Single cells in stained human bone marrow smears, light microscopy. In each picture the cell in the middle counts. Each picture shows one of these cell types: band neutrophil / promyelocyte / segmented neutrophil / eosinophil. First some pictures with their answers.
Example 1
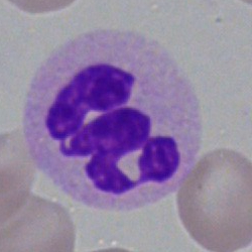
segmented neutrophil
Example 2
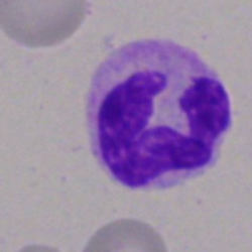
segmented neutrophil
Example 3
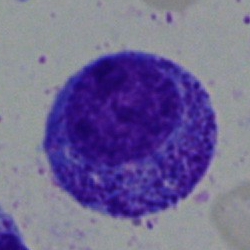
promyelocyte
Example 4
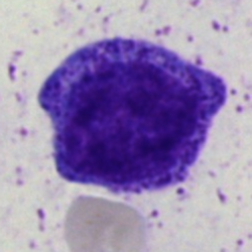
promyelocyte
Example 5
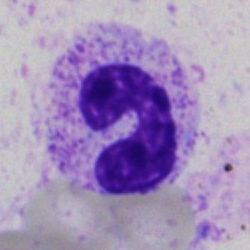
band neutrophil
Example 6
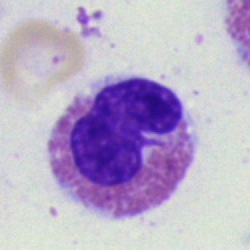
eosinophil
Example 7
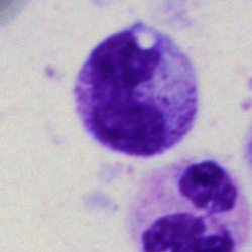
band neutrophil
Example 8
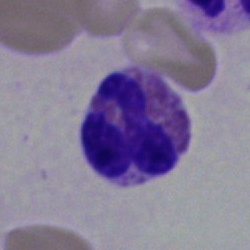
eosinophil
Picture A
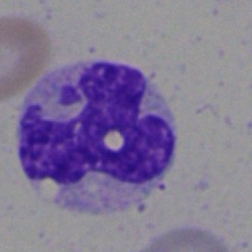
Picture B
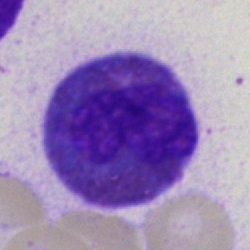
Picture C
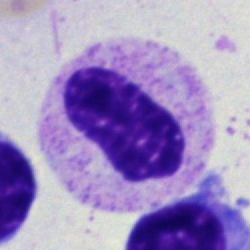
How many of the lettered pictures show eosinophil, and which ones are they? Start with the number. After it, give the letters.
Count: 1 (B)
